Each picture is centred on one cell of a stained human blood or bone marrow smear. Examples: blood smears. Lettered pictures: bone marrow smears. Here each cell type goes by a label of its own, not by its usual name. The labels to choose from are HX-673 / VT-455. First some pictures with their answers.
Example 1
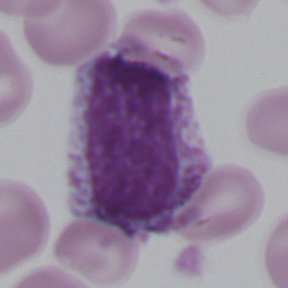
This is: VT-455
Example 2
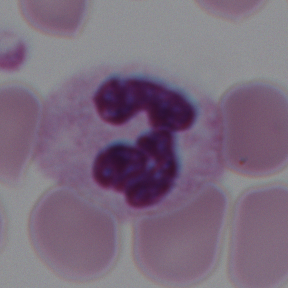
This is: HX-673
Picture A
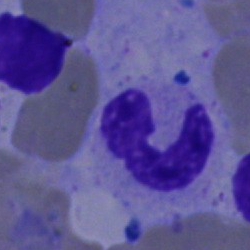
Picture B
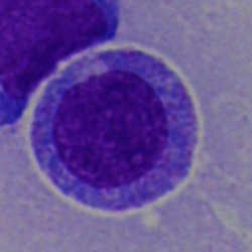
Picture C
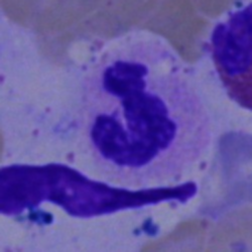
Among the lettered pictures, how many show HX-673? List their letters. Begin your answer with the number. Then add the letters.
Count: 2 (A, C)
